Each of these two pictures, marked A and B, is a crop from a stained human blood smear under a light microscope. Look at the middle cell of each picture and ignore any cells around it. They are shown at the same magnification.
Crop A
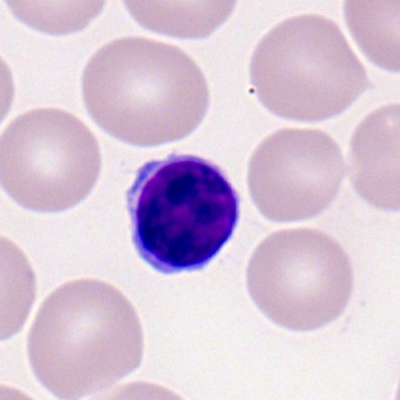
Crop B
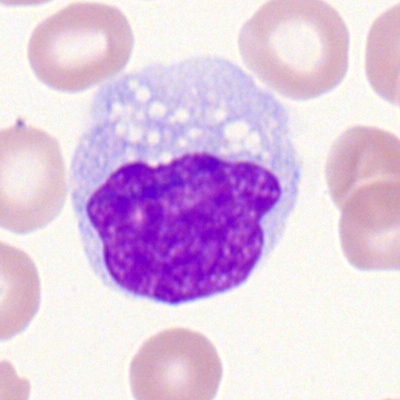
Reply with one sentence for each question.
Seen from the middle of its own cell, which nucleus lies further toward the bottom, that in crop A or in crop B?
Seen within its cell, the nucleus in crop B lies further toward the bottom.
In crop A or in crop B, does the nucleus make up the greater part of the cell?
In crop A the nucleus takes up the larger part of its cell.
